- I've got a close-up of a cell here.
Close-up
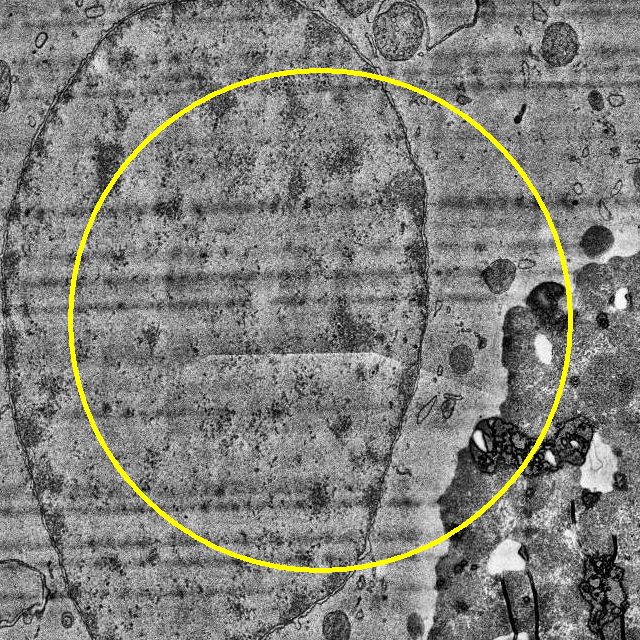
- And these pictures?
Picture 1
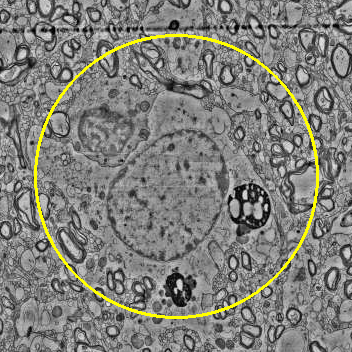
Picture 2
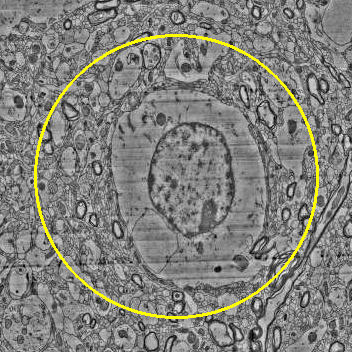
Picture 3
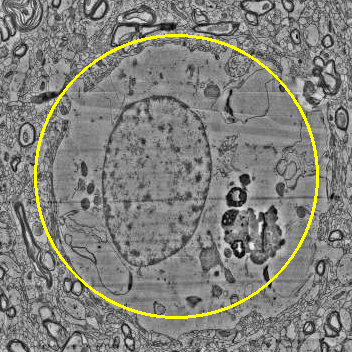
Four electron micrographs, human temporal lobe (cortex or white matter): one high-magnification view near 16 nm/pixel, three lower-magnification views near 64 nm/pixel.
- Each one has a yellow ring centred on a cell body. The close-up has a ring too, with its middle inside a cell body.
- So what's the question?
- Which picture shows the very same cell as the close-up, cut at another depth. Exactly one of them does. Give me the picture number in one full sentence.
The close-up singles out the cell ringed in Picture 3.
